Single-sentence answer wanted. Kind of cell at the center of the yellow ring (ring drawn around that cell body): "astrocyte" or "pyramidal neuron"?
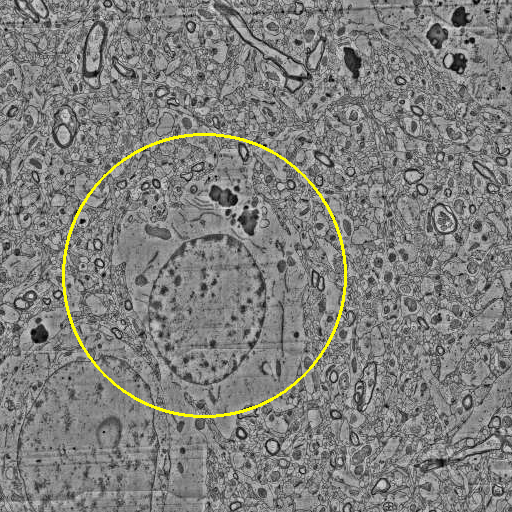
The cell centered in the ring is an astrocyte.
